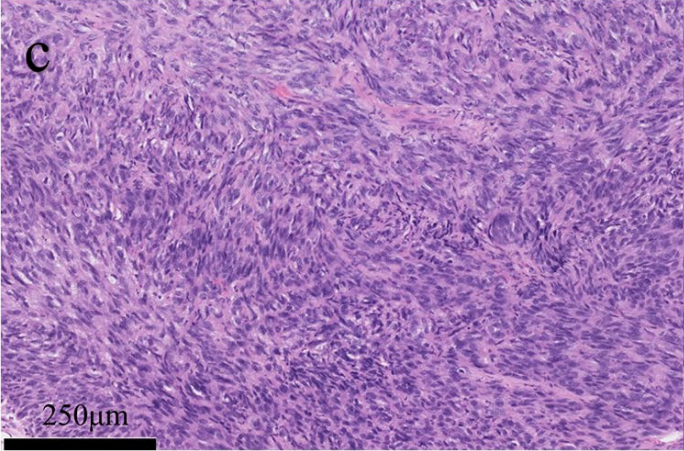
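This is a densely cellular tumor made of spindle cells. The cells lie in intersecting fascicles and sweeping streams that cross one another at different angles. Their nuclei are elongated, dark purple and closely packed, while the cytoplasm is pale pink with indistinct cell borders. Only small amounts of pink stroma and a few thin vessels with red blood cells lie between the bundles.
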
